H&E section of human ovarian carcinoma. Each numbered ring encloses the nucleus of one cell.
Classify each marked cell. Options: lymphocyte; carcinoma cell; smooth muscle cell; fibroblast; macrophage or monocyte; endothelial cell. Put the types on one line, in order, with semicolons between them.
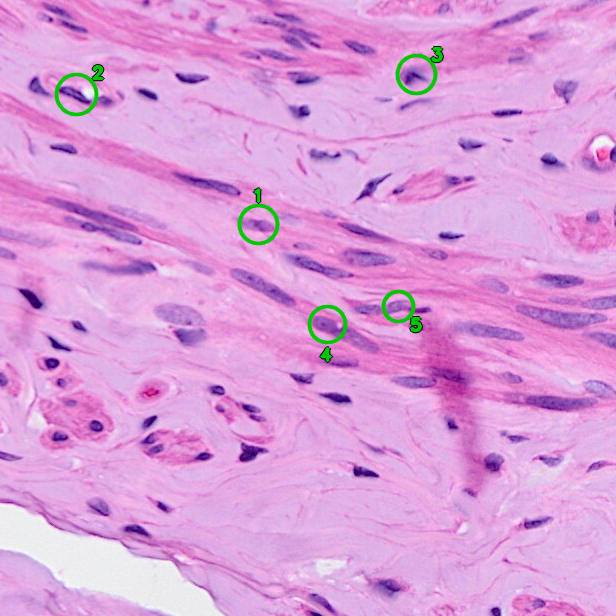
smooth muscle cell; endothelial cell; fibroblast; smooth muscle cell; smooth muscle cell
